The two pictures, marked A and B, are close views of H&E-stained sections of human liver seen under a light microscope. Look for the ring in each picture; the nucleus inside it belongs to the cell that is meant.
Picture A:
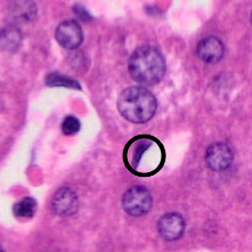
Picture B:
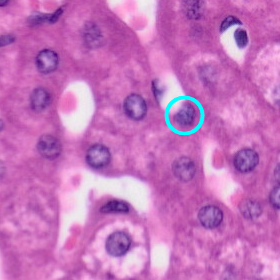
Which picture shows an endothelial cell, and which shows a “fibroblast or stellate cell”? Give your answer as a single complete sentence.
In picture A the cell is an endothelial cell; in picture B, a “fibroblast or stellate cell”.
